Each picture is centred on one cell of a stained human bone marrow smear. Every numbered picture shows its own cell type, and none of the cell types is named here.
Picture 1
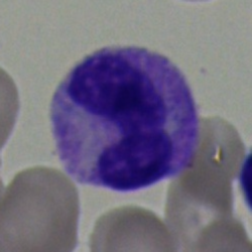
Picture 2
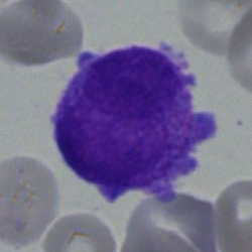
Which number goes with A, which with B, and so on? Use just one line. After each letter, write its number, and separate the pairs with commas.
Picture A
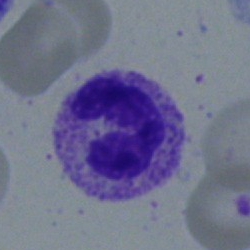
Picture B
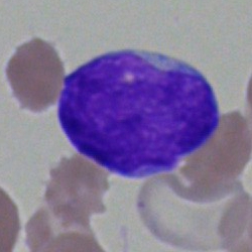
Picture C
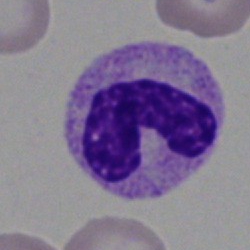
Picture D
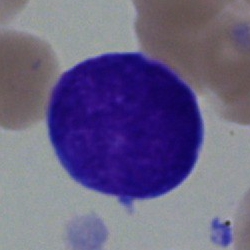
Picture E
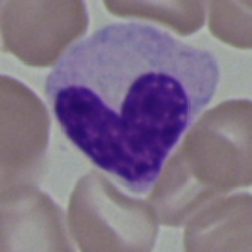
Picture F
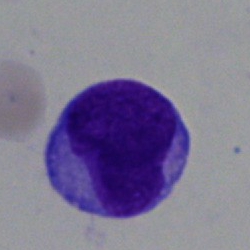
A 1, B 2, C 1, D 2, E 1, F 2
